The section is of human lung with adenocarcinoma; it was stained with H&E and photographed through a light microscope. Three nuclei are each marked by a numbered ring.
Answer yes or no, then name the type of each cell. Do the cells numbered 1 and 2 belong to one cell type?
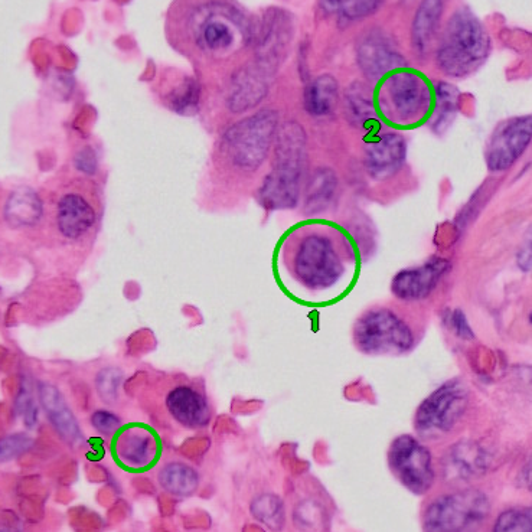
Yes, cells 1 and 2 are, both of them, carcinoma cells.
